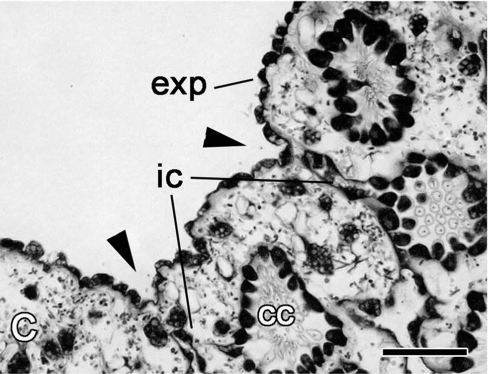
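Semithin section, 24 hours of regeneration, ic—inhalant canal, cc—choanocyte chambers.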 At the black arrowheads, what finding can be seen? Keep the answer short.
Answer: exopinacoderm invagination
